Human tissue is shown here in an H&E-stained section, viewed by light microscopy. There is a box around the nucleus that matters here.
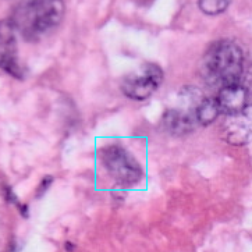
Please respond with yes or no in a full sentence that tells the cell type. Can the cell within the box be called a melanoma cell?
Yes, the description of the cell within the box as a melanoma cell is accurate.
